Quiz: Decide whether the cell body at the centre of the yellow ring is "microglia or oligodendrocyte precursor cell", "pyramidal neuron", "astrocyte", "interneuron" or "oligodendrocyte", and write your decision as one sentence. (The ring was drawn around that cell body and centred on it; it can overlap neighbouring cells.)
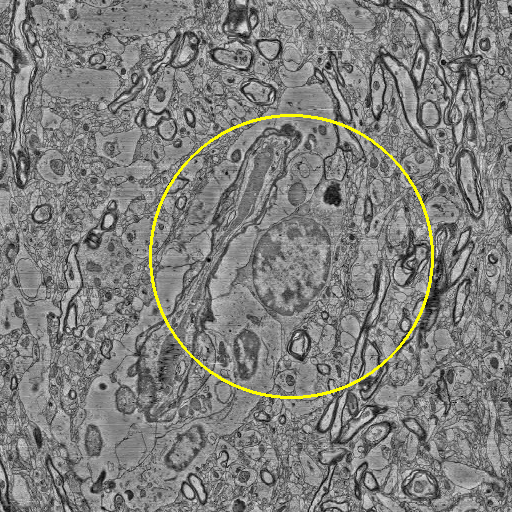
The cell the ring is centred on is an oligodendrocyte.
